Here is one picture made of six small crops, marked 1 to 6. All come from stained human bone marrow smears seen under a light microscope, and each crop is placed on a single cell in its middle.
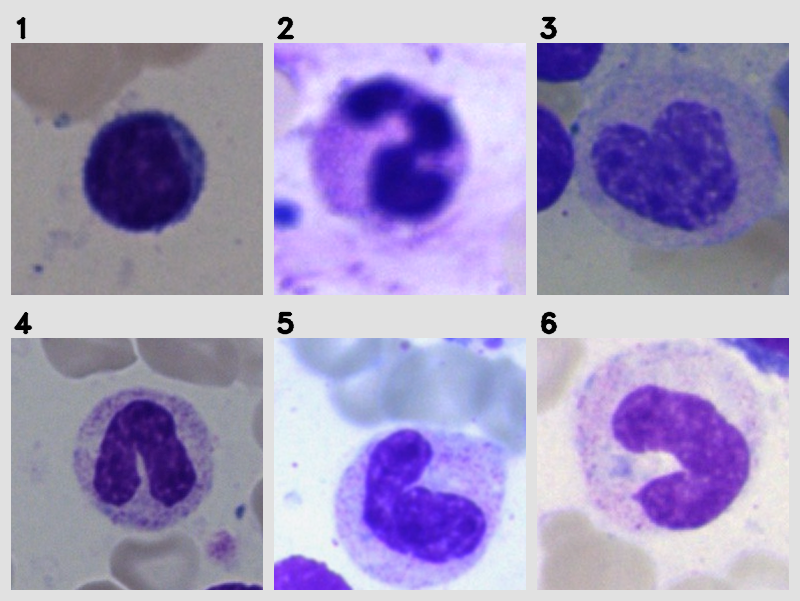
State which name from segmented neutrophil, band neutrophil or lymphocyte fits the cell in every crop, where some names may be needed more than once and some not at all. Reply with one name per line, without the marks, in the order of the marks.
lymphocyte
segmented neutrophil
band neutrophil
band neutrophil
band neutrophil
band neutrophil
